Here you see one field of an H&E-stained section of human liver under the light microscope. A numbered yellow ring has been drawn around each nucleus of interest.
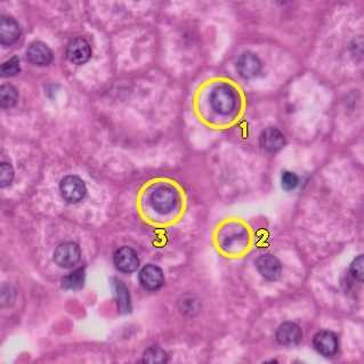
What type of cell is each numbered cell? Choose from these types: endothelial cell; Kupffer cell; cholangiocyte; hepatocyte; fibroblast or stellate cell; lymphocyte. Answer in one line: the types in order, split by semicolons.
hepatocyte; Kupffer cell; hepatocyte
